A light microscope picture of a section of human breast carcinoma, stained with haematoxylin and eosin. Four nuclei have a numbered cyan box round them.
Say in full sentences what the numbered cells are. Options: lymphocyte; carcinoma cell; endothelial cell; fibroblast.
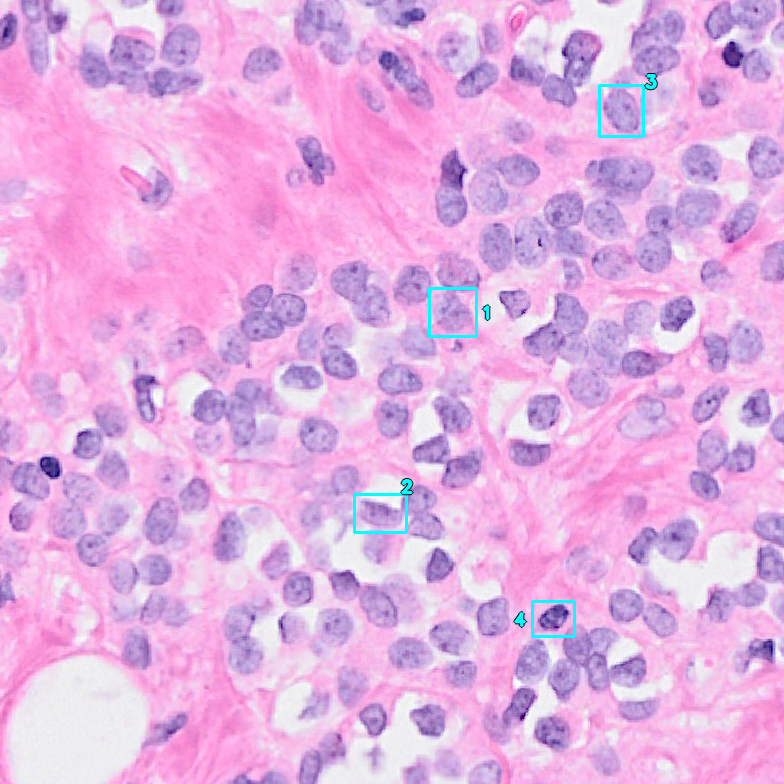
Cells 1, 2 and 3 are carcinoma cells. Cell 4 is a lymphocyte.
